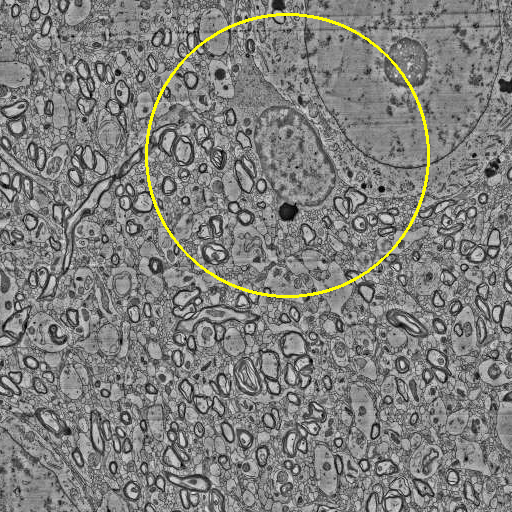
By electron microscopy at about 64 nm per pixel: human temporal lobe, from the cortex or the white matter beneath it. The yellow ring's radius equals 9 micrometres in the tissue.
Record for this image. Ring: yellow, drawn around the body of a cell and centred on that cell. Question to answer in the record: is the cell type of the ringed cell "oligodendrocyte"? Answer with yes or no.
yes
